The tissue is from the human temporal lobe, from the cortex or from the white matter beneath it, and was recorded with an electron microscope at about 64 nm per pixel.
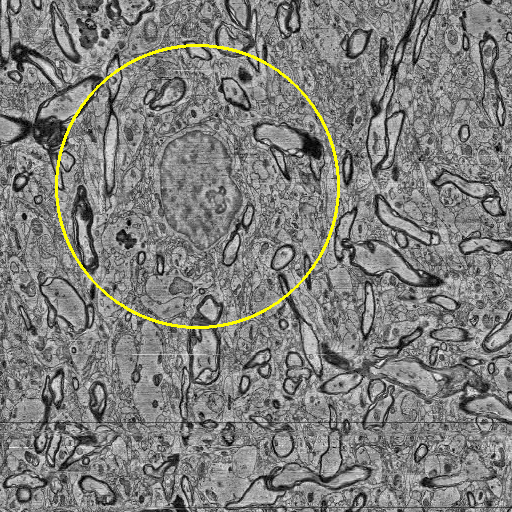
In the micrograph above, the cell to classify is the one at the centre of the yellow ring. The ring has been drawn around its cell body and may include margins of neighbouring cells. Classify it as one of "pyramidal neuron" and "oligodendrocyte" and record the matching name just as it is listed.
oligodendrocyte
